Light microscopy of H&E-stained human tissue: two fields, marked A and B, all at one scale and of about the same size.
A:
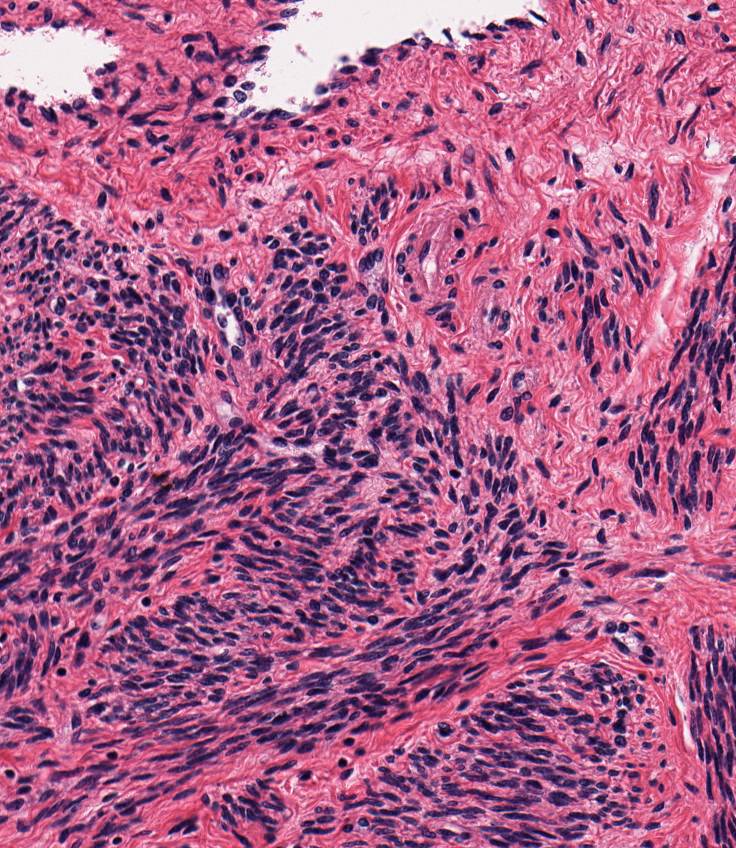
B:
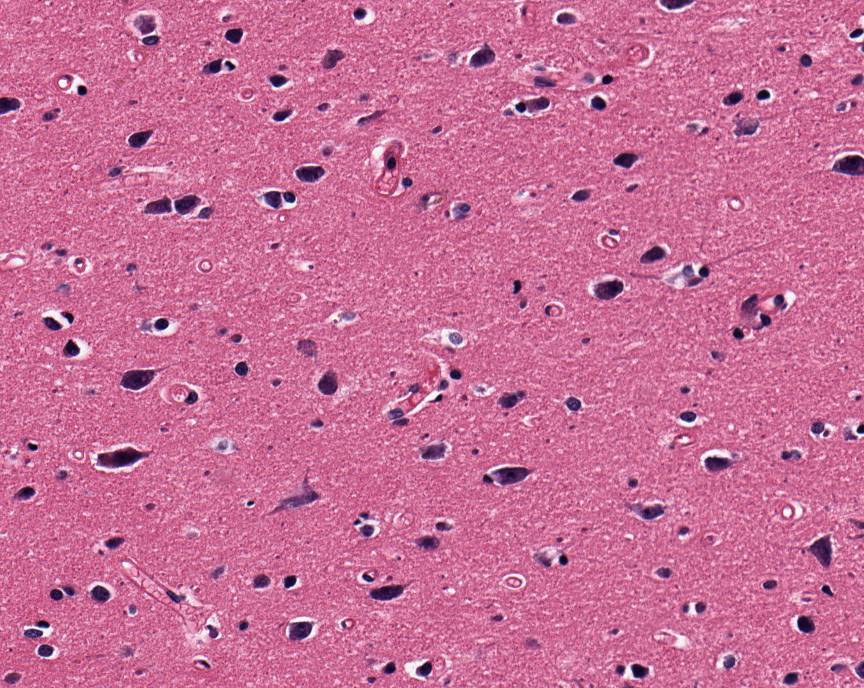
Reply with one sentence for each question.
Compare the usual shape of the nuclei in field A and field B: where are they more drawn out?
Longer, more slender nuclei lie in field A.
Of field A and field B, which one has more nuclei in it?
It is field A that has more nuclei in it.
